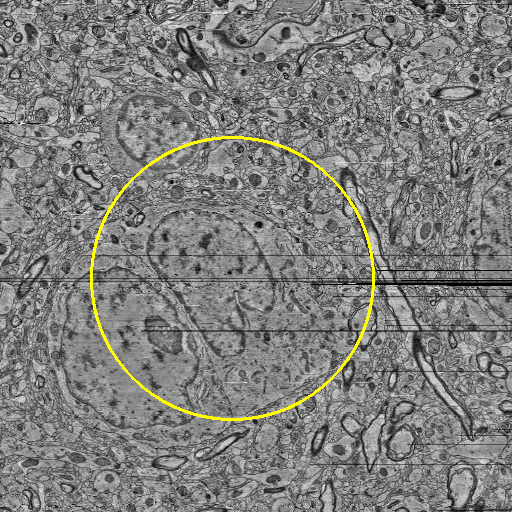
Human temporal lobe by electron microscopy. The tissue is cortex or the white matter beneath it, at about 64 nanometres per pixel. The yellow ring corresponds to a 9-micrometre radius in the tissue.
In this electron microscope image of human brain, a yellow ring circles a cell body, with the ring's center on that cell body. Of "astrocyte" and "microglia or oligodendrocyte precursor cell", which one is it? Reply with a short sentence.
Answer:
It is a microglial cell or oligodendrocyte precursor cell at the center of the ring.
